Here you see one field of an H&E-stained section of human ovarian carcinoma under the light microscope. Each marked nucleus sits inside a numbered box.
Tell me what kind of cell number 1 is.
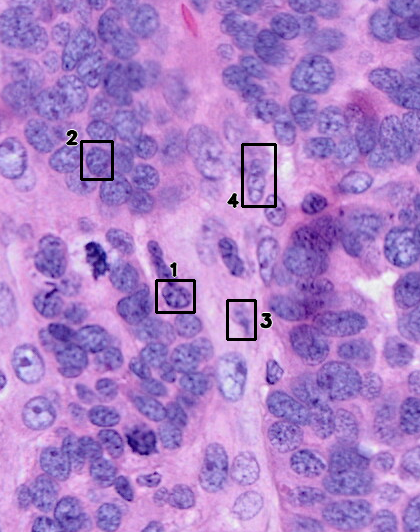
macrophage or monocyte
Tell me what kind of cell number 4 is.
fibroblast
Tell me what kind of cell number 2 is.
carcinoma cell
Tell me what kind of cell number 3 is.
fibroblast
